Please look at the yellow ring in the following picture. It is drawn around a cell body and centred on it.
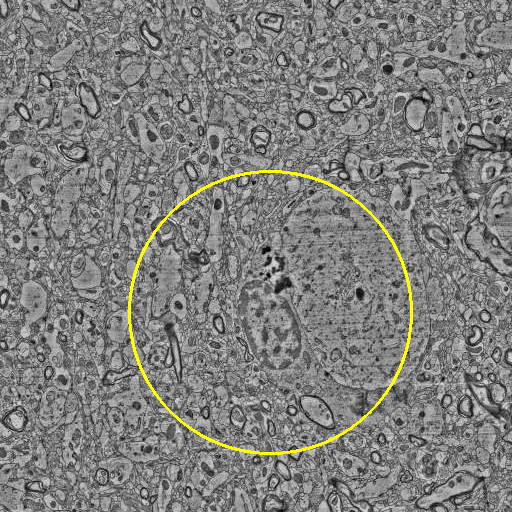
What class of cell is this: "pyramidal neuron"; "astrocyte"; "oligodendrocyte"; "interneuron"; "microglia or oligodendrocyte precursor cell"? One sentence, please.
The ring surrounds the cell body of an oligodendrocyte.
